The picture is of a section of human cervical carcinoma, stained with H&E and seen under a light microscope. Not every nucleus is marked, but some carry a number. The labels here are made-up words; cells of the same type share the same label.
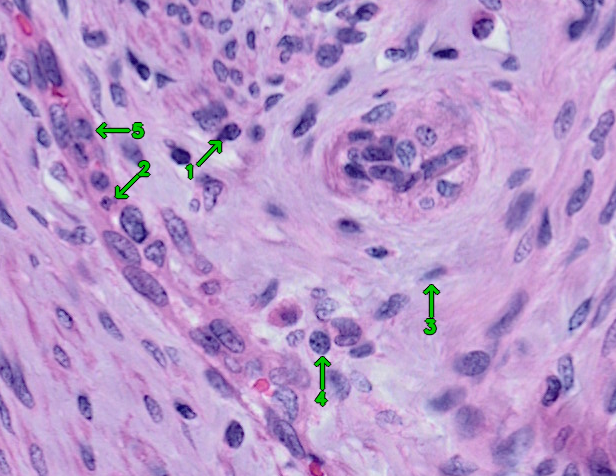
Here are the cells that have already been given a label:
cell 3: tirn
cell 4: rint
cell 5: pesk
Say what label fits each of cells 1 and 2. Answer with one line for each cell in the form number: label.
1: rint
2: pesk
